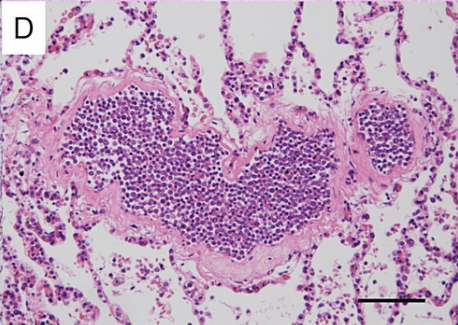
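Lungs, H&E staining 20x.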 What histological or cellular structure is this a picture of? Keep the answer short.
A: A blood vessel.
